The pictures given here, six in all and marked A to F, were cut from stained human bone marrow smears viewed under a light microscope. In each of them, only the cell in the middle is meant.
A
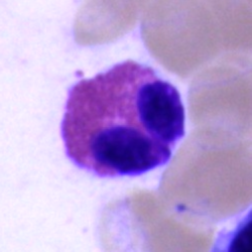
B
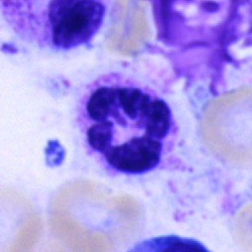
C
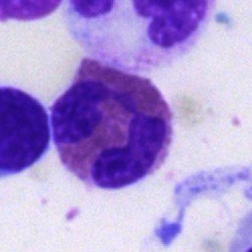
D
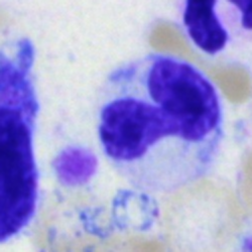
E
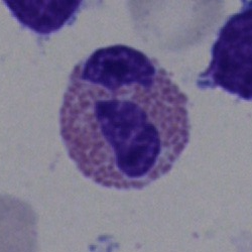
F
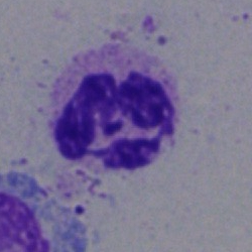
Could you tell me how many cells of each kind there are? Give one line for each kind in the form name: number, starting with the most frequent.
eosinophil: 3
segmented neutrophil: 2
band neutrophil: 1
